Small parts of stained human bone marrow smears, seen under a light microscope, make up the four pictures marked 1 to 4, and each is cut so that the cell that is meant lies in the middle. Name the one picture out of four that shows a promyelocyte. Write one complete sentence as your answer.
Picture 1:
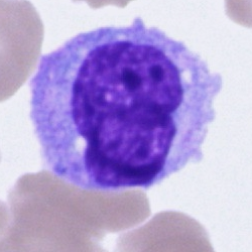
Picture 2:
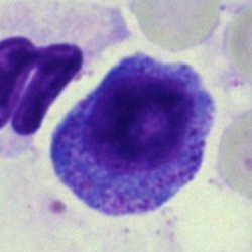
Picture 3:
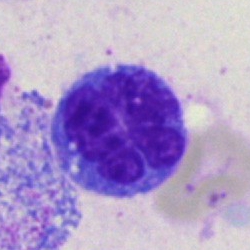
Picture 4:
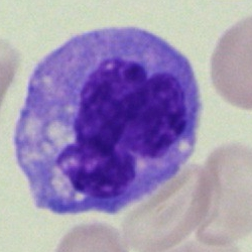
Picture 2 shows the promyelocyte.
